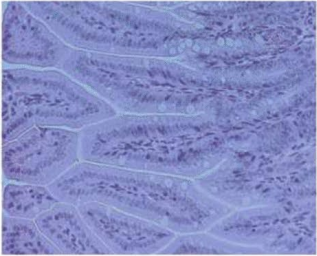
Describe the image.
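Small intestine with tall, parallel villi cut lengthwise. Each villus is covered by a single layer of columnar epithelial cells with elongated, basally placed dark nuclei. Pale, rounded, clear cells are interspersed in the epithelium, numerous near the top of the field. The villus cores contain loose connective tissue with scattered nuclei. Narrow clear spaces separate adjacent villi, and the architecture appears intact.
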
